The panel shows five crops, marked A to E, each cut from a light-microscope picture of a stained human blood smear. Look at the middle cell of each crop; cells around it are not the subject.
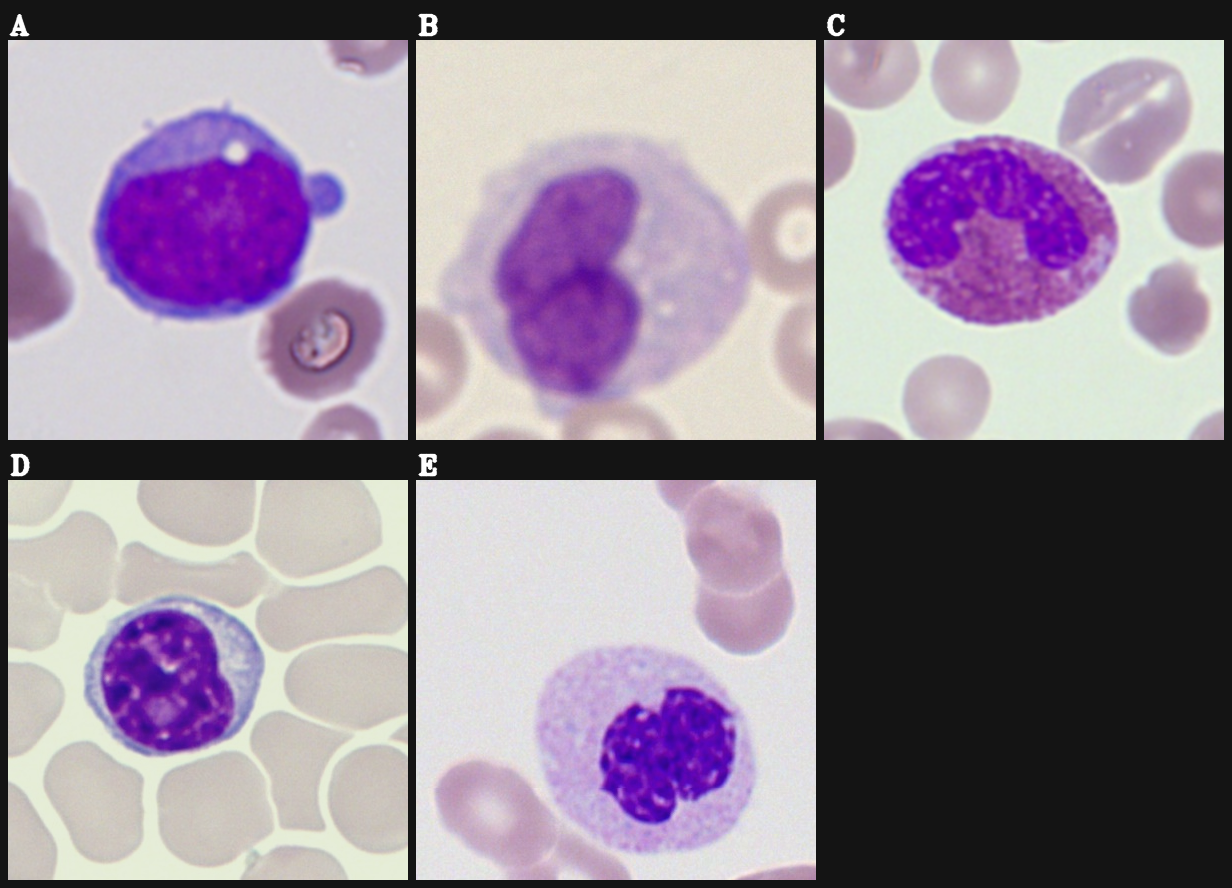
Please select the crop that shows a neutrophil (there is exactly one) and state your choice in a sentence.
The crop in which a neutrophil is shown is crop E.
